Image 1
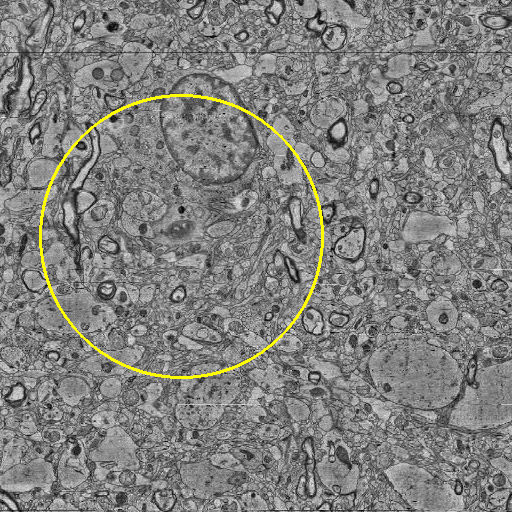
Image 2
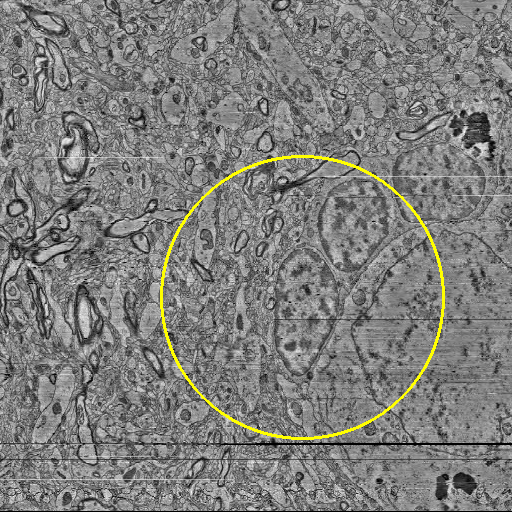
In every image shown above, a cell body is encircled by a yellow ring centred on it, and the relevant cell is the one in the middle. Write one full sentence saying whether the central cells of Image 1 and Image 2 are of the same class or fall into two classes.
The cell at the ring's centre in Image 1 and its counterpart in Image 2 are of the same class.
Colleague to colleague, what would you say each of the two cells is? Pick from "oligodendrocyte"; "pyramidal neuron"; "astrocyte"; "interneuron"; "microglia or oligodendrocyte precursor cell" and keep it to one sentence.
The cell at the ring centre is an oligodendrocyte in both pictures.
